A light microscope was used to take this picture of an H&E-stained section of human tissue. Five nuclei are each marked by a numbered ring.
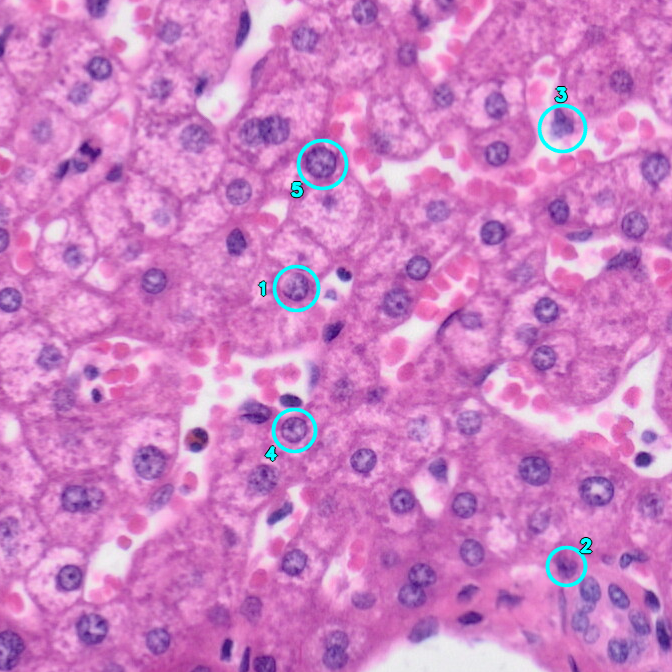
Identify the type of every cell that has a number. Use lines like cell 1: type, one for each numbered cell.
cell 1: hepatocyte
cell 2: fibroblast or stellate cell
cell 3: Kupffer cell
cell 4: hepatocyte
cell 5: hepatocyte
